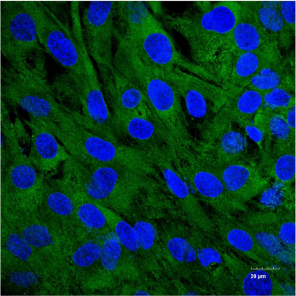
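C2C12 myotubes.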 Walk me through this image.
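Long, bright green cytoplasmic fibres run roughly parallel, diagonally across the field, with darker gaps between them. Oval, evenly blue nuclei with fine granular texture are numerous and lie along and between the fibres, several crowded together in rows. The green staining fills the elongated cell bodies fairly evenly, with finer granular texture in places. Cell borders are indistinct where fibres overlap.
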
